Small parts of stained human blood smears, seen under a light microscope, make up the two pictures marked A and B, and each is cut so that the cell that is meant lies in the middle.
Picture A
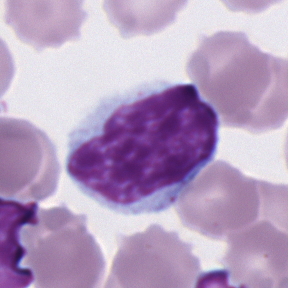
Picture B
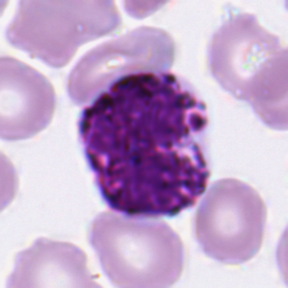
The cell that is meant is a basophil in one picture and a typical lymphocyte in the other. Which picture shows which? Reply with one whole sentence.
In picture A the cell is a typical lymphocyte; in picture B, a basophil.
